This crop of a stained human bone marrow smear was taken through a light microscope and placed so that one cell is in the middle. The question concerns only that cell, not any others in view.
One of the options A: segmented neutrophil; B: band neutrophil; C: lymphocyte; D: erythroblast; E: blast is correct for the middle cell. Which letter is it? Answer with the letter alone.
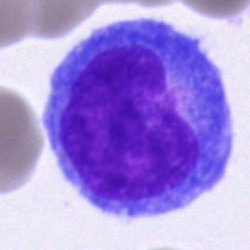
E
